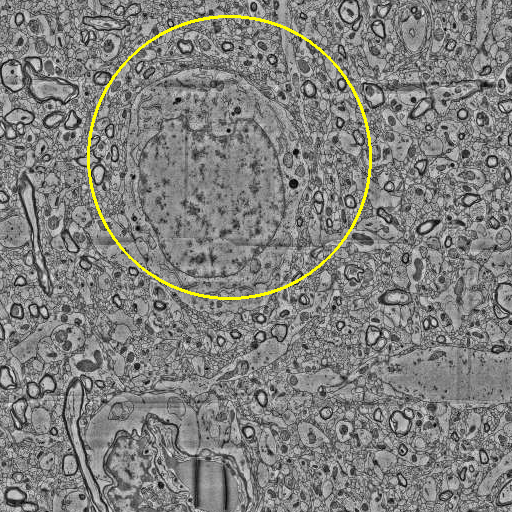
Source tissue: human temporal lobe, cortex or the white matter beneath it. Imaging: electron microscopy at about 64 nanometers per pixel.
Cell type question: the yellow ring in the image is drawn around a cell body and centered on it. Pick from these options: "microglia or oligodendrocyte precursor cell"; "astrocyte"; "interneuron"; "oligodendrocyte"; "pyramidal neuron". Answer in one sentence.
The ringed cell at the center is an interneuron.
